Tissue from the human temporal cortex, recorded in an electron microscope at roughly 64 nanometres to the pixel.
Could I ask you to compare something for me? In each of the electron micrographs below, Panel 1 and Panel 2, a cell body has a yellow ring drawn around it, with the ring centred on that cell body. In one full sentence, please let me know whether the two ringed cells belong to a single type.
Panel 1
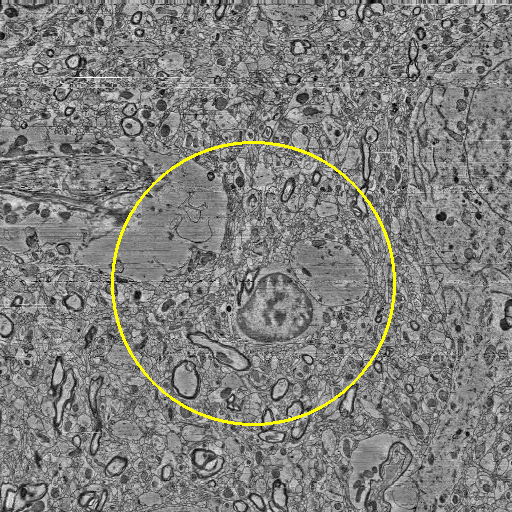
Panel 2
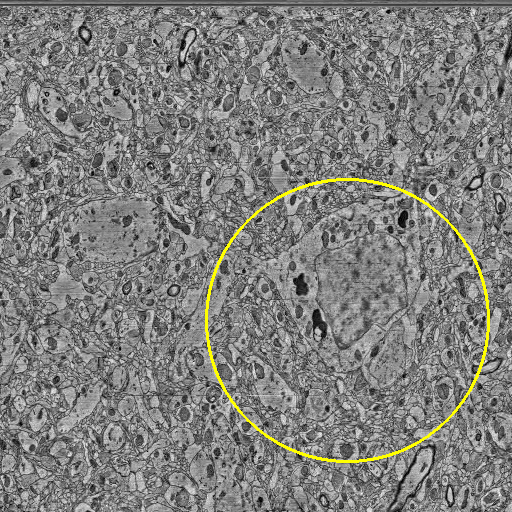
No, the two cells at the centres of the rings are of two types.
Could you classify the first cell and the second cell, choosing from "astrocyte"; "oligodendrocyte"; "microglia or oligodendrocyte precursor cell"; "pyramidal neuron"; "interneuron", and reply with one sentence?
The second cell is an interneuron, while the first is an oligodendrocyte.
